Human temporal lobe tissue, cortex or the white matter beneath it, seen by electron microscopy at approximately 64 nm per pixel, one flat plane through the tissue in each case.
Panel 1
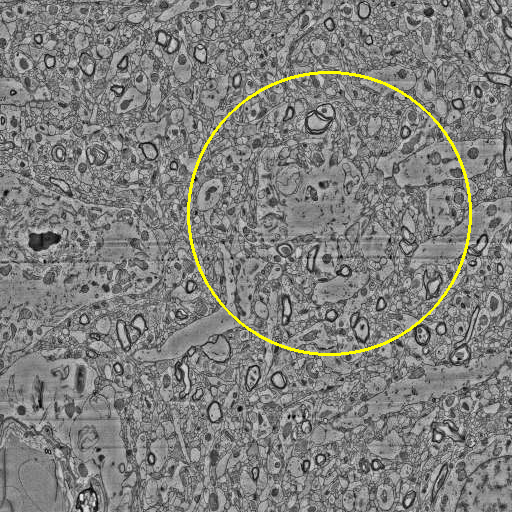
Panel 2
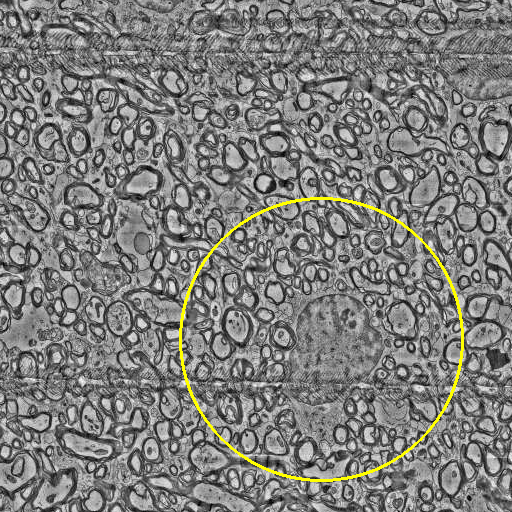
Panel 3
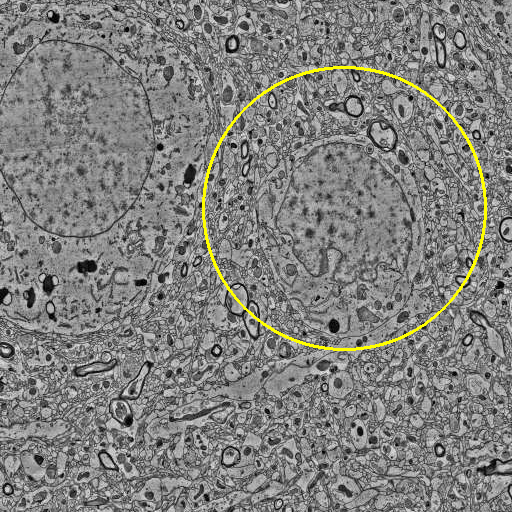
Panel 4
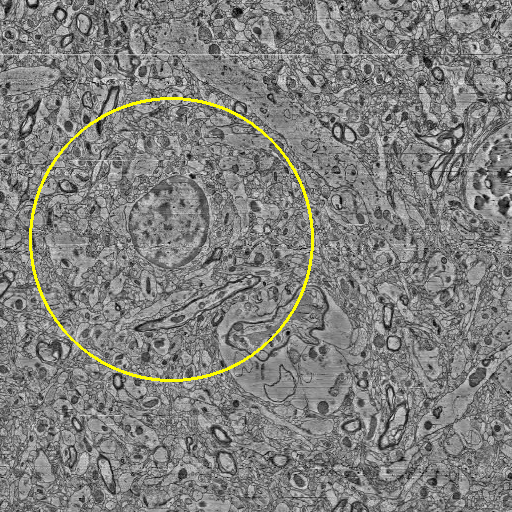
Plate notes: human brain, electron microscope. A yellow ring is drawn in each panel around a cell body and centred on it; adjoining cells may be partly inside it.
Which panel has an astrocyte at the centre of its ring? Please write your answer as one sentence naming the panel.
The ring in Panel 1 is centred on such a cell.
